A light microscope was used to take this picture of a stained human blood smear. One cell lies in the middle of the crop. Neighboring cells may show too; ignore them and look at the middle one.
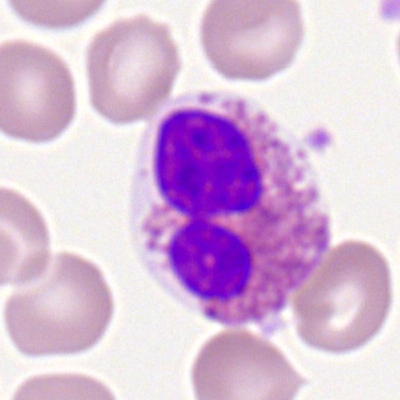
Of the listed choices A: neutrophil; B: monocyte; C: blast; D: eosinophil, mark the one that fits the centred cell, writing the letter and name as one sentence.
The middle of the crop contains an eosinophil, so option D is right.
